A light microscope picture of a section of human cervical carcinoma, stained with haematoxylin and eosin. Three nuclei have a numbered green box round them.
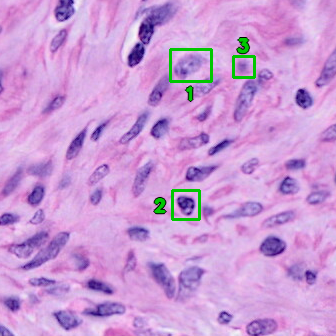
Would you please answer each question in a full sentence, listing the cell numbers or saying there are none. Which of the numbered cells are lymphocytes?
In this set of numbered cells, only cell 2 is a lymphocyte.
